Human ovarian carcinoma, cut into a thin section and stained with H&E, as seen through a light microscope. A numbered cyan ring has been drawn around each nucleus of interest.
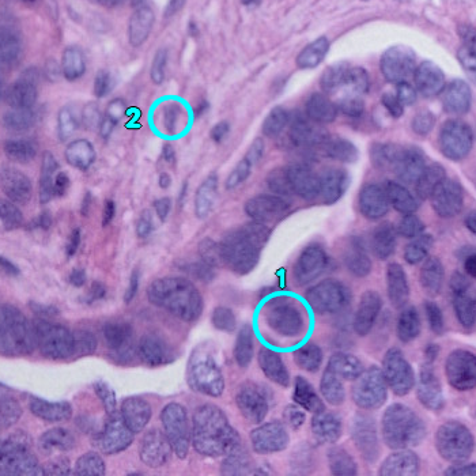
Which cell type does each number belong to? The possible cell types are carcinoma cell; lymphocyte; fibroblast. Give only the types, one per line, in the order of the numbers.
carcinoma cell
fibroblast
